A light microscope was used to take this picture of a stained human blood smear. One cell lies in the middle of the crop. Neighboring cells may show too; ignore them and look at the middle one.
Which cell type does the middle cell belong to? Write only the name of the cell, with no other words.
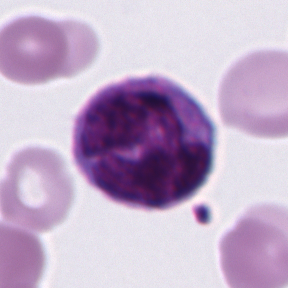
monocyte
